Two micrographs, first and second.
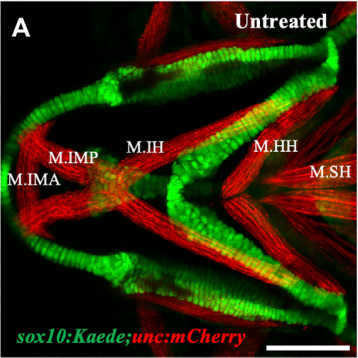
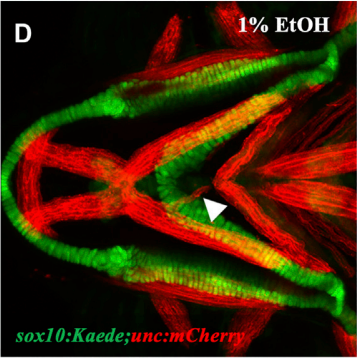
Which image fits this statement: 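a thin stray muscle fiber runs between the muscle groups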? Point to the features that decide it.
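The second image. Second image: a lone thin red fiber crosses the green cartilage between muscle bundles.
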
